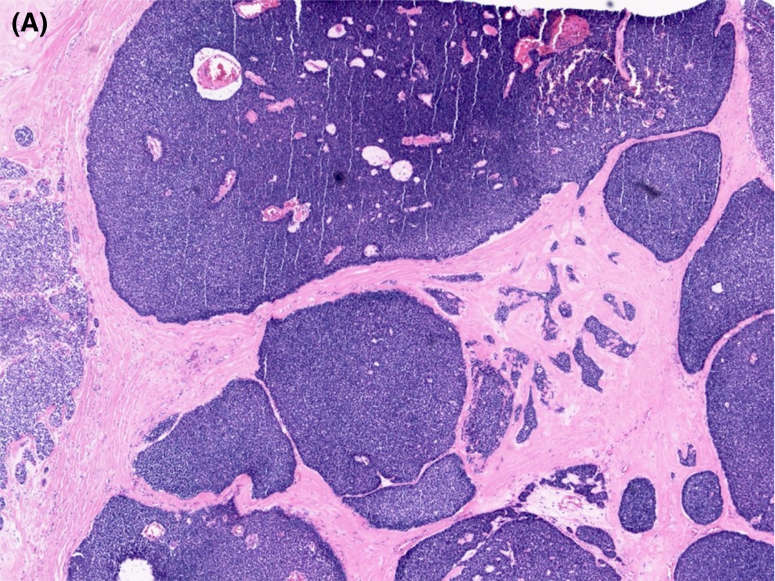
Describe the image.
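The tumour consists of large, circumscribed nodules of dark blue basaloid cells. The nodules are rounded and vary in size. Their edges are smooth and sharply outlined. Bands of pink, dense fibrous stroma separate them, and in the centre the stroma holds smaller, irregular cell nests. The largest nodule at the top contains scattered vascular spaces, some filled with red blood cells, and a few small round clear spaces. At low power the cells are too densely packed to be told apart singly, and no clear lumen-forming glands are seen in most nodules.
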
